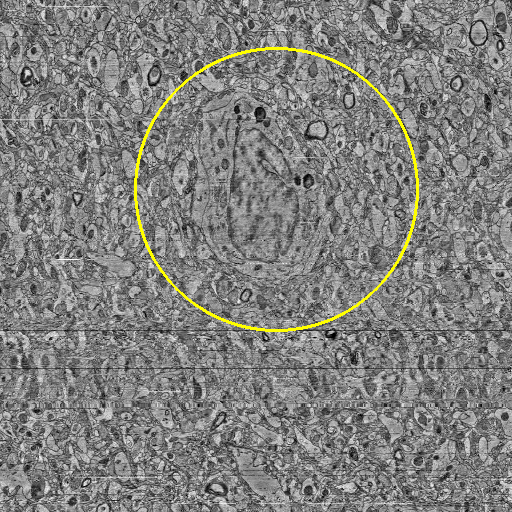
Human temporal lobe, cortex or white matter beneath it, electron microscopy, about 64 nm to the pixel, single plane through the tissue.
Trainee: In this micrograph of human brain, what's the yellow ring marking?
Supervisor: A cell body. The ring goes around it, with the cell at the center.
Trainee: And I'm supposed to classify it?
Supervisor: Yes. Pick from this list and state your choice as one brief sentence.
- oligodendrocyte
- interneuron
The cell at the ring's center is an interneuron.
